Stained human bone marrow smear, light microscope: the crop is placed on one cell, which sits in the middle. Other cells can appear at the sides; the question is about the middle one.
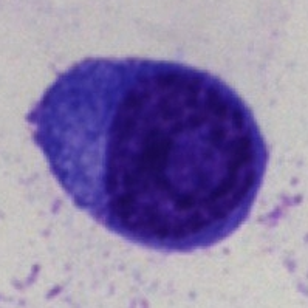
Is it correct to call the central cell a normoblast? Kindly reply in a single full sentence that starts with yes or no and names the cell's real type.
No, the central cell should be identified as a plasma cell, not as a normoblast.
